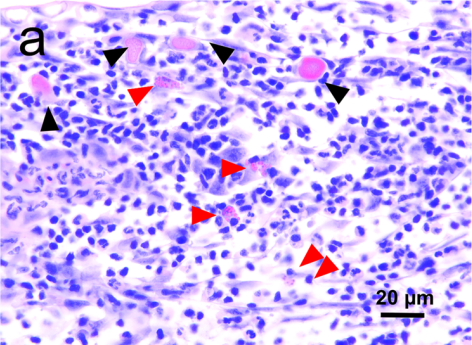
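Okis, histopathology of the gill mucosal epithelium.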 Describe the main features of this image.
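Scattered among them, particularly toward the upper edge, are large, rounded sacciform cells filled with homogeneous pink contents. Smaller cells with pink granular cytoplasm are also scattered through the tissue, consistent with mast cells.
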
